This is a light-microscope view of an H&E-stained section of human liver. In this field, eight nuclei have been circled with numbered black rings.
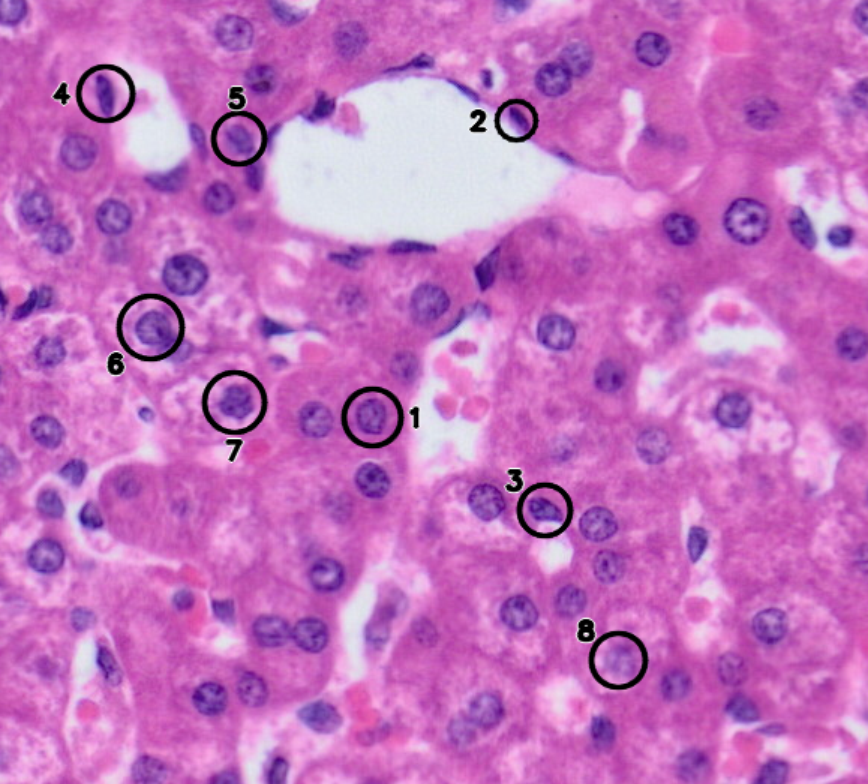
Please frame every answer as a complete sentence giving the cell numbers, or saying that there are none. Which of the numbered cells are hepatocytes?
Cells 1, 6, 7 and 8 in the section are typed as hepatocytes.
